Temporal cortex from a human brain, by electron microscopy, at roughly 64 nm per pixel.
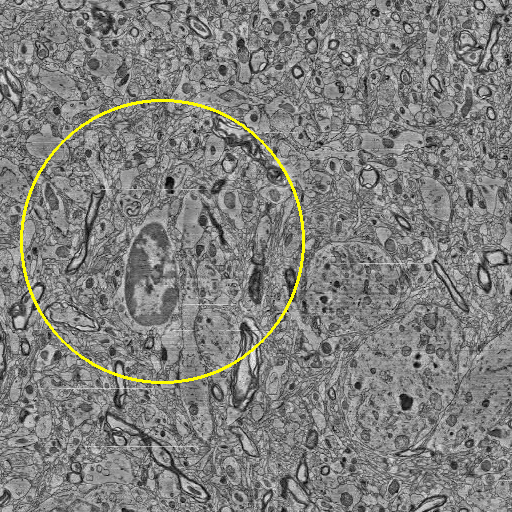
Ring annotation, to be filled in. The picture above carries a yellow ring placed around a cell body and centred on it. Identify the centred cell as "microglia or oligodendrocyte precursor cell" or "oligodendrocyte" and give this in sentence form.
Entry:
The cell in the middle of the ring is a microglial cell or oligodendrocyte precursor cell.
